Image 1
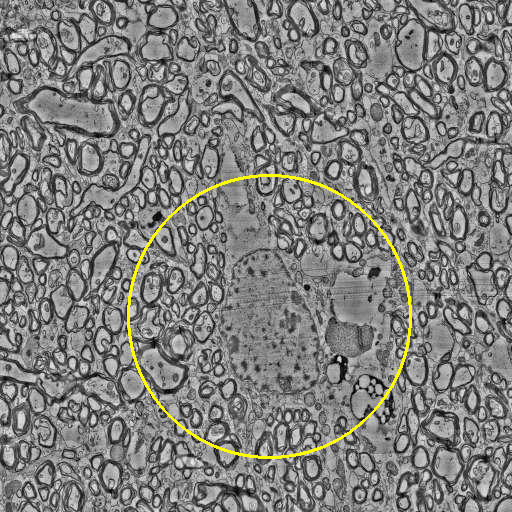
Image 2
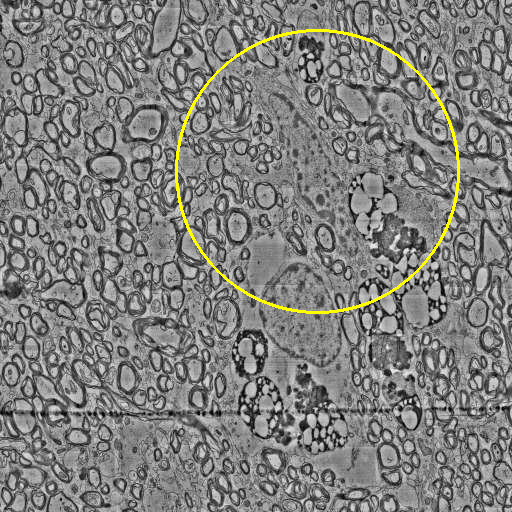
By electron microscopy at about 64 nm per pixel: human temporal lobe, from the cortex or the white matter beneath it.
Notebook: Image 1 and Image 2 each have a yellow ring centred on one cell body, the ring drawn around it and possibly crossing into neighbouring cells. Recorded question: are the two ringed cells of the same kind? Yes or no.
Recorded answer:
yes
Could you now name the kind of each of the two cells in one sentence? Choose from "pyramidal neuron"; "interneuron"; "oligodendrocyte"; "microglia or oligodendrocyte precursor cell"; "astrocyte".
The first and the second cell are each an astrocyte.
